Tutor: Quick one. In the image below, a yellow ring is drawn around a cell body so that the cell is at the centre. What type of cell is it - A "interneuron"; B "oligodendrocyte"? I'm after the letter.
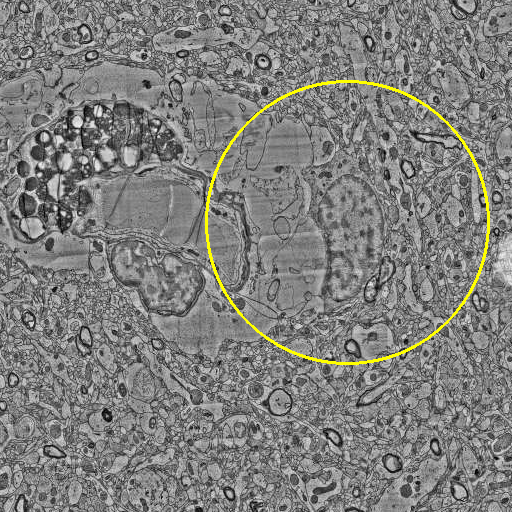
B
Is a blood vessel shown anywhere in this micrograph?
Yes, a vessel shows somewhere in the image.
